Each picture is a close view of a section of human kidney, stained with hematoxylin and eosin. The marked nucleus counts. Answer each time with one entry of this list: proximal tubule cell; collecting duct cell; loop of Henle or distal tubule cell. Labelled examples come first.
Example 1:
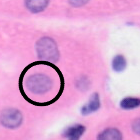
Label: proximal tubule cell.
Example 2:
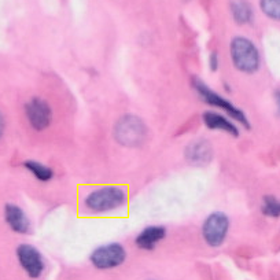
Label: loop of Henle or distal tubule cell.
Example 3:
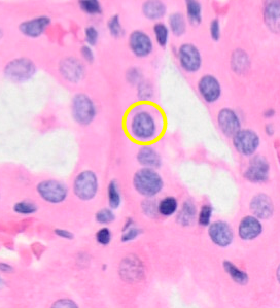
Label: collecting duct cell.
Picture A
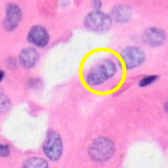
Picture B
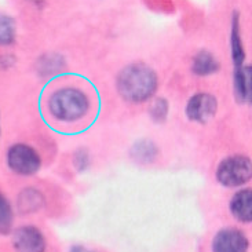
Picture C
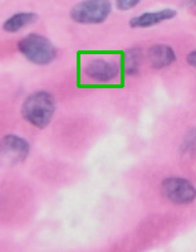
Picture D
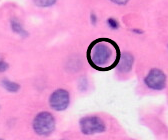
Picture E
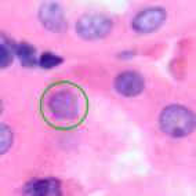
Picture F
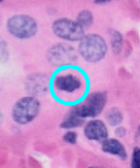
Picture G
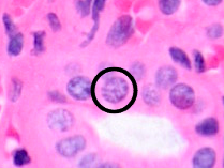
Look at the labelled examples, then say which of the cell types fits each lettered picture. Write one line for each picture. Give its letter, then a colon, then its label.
A: collecting duct cell.
B: loop of Henle or distal tubule cell.
C: proximal tubule cell.
D: loop of Henle or distal tubule cell.
E: proximal tubule cell.
F: collecting duct cell.
G: collecting duct cell.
